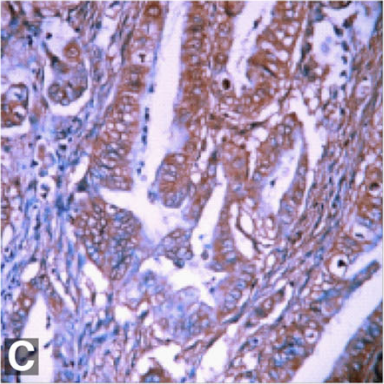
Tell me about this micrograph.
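Elongated and branching glands with open lumens are lined by tall columnar cells whose cytoplasm and cell borders are brown, with bluish nuclei, set in a bluish fibrous stroma. This is highly differentiated adenocarcinoma, with the glandular tumour cells stained.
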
